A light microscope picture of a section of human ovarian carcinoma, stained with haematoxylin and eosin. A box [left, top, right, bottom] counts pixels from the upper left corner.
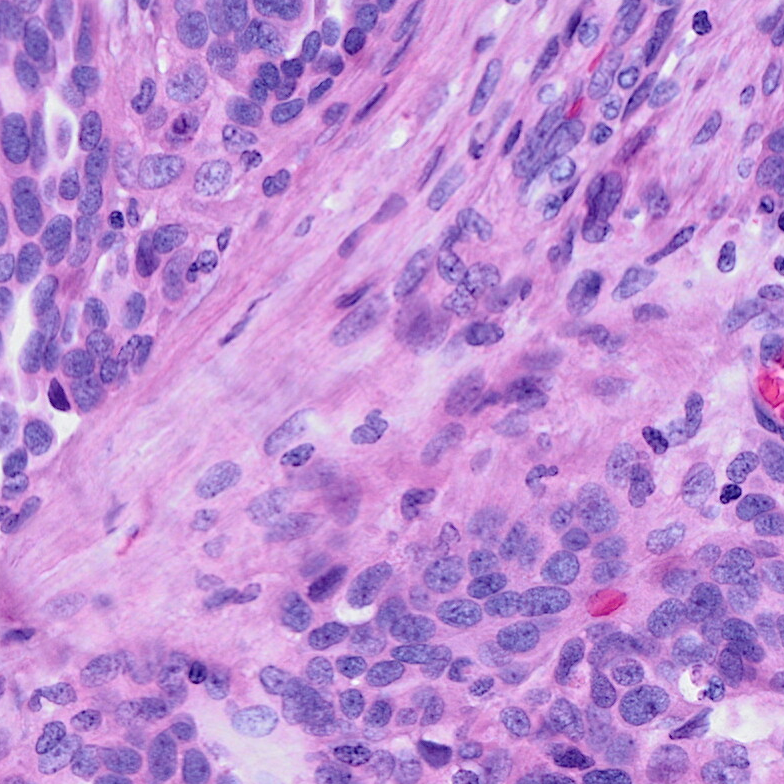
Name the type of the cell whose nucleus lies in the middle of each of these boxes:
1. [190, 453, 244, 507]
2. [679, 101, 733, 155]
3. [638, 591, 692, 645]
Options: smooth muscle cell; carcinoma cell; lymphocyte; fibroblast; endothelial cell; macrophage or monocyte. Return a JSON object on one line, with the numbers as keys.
{"1": "fibroblast", "2": "fibroblast", "3": "carcinoma cell"}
